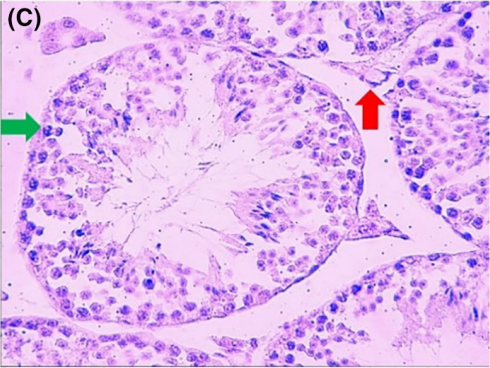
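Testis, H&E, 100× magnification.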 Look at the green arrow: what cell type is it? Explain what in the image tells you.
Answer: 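Basal spermatogenic cell lines. The arrow points to the outer edge of the tubule where the basal layer of cells lies against the wall.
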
